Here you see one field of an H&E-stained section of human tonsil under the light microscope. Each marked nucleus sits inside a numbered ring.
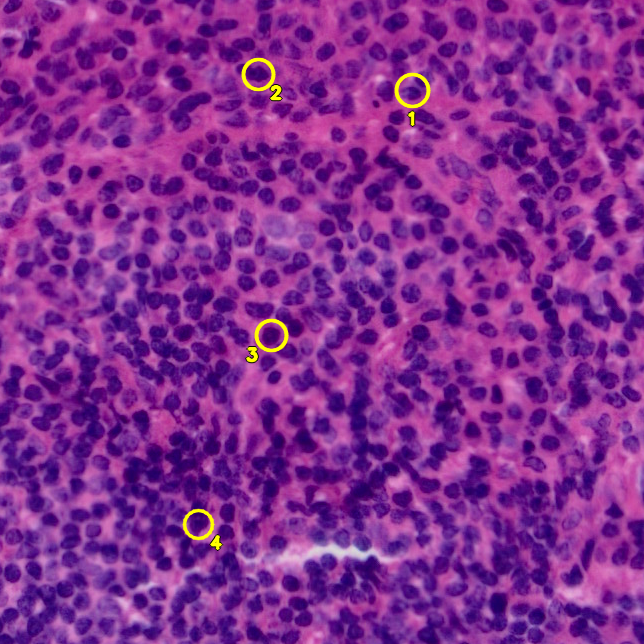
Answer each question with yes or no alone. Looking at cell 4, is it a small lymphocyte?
yes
